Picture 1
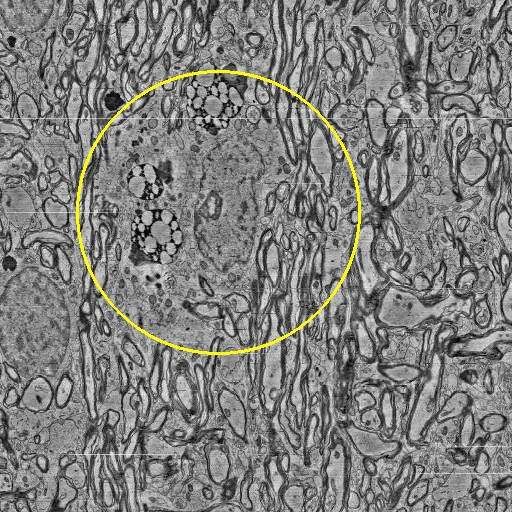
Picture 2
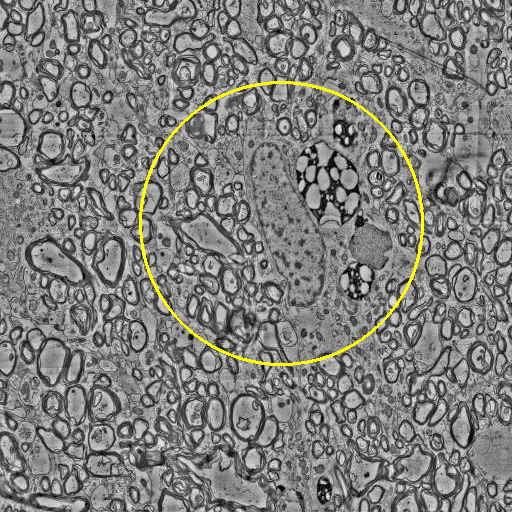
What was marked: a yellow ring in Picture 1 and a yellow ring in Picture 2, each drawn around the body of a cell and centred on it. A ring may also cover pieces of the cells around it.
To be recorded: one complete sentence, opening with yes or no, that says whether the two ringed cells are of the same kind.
Yes, the two ringed cells are of the same kind.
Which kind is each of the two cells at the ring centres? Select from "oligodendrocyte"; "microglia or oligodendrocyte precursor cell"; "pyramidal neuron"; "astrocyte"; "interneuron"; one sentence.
Both cells are the same kind, each one being an astrocyte.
